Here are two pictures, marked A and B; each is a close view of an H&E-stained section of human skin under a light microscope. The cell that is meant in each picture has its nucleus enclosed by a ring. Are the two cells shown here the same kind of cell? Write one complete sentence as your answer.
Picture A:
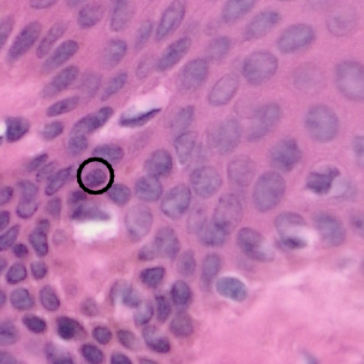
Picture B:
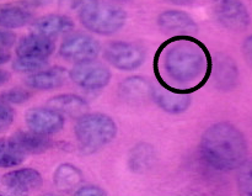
No, the types are not the same, since picture A shows a basal keratinocyte and picture B a suprabasal keratinocyte.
